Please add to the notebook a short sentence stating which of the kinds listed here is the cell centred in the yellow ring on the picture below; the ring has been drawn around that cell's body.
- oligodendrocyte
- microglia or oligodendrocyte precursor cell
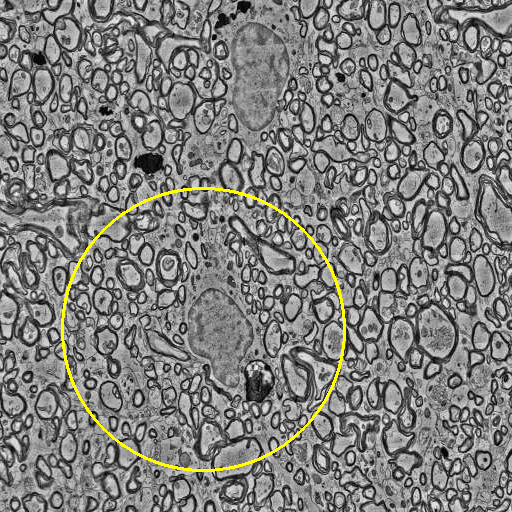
The cell centred in the yellow ring is an oligodendrocyte.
